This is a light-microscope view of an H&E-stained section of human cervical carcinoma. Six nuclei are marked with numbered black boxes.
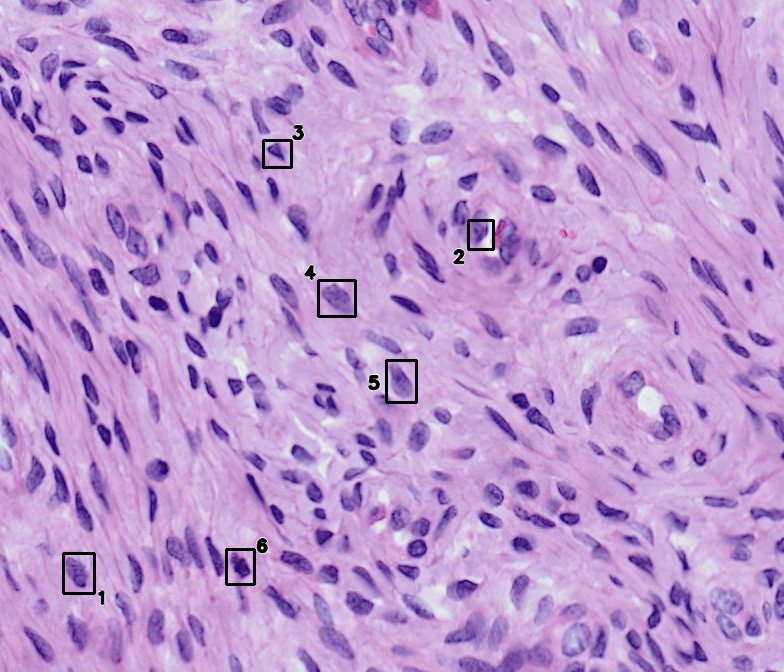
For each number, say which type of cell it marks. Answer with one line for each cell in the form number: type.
1: fibroblast
2: endothelial cell
3: fibroblast
4: fibroblast
5: fibroblast
6: lymphocyte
